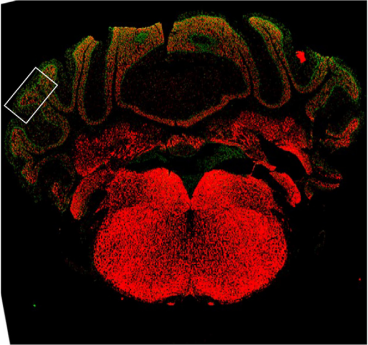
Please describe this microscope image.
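A low-power section shows a tissue thrown into many folds, with deep fissures running between rounded lobules across the upper part of the image. Along the lobules, a green-speckled outer band follows each fold, while red runs through the cores and inner parts of the folds. Below the folded part lies a broad, solid mass filled with dense red signal and divided into two halves by a midline. The folded lobules are the folia of the cerebellum, and the dense mass beneath them is the adjoining brainstem.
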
